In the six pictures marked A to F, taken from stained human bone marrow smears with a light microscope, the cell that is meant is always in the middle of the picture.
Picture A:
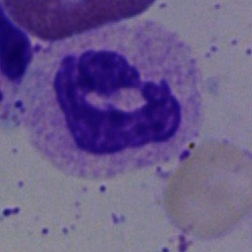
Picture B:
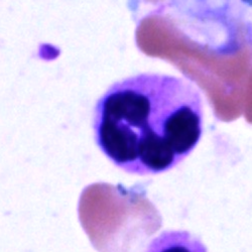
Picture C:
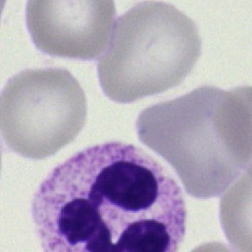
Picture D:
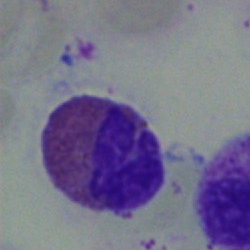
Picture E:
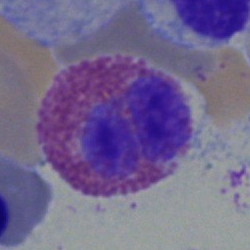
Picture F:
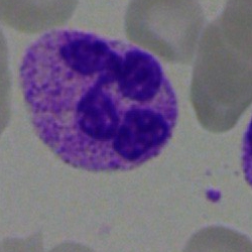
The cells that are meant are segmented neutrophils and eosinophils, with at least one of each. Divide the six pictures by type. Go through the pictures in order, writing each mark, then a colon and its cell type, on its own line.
A: segmented neutrophil
B: segmented neutrophil
C: segmented neutrophil
D: eosinophil
E: eosinophil
F: segmented neutrophil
